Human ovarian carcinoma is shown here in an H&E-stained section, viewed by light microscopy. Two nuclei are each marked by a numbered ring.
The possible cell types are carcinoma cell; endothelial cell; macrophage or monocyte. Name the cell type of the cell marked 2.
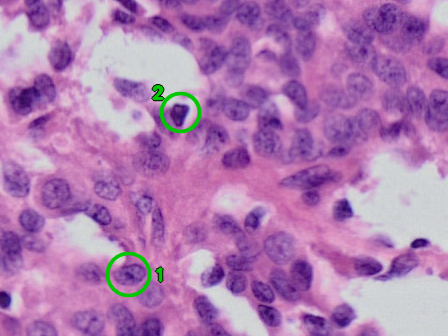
carcinoma cell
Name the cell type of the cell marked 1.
macrophage or monocyte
